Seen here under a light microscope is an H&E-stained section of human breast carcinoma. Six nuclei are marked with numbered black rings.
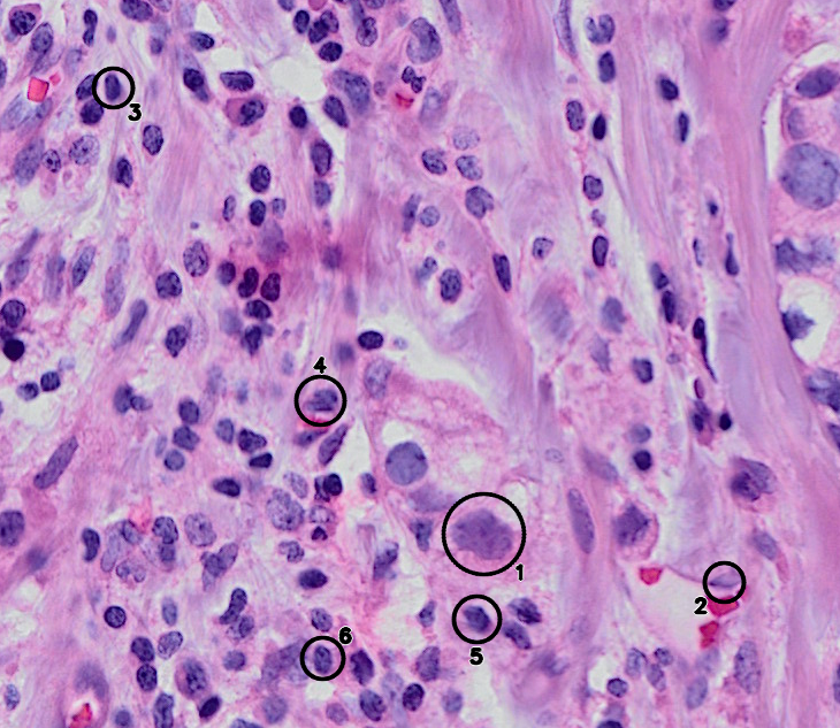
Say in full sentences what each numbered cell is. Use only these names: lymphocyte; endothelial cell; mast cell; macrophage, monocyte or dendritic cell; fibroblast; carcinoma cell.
Cell 1 is a carcinoma cell, cell 2 is an endothelial cell, cell 3 is a lymphocyte, cell 4 is an endothelial cell, cell 5 is a lymphocyte and cell 6 is a lymphocyte.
